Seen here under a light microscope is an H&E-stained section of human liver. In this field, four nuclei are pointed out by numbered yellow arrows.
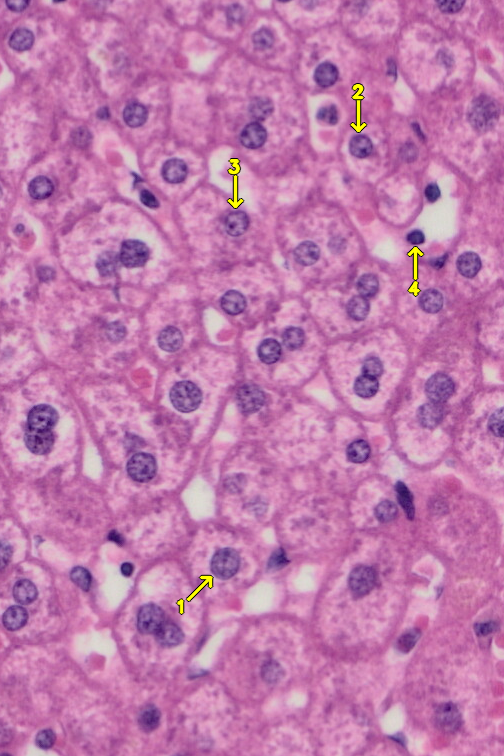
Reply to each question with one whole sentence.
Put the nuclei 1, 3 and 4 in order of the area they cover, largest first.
The nuclei rank 1, 3, 4, from largest to smallest.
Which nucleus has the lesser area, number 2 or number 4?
It is nucleus 4; nucleus 2 has about 2 times its area.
